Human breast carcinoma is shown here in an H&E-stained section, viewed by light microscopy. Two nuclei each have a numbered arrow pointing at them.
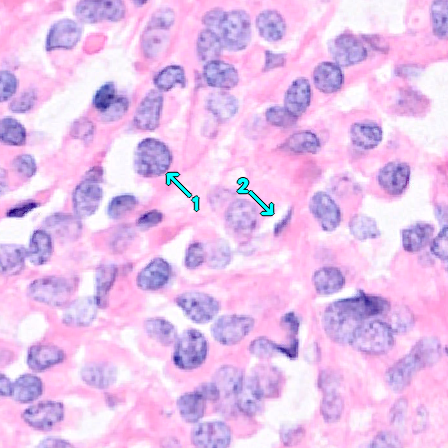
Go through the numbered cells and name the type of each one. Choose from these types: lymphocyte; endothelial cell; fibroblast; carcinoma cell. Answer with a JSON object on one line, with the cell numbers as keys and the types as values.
{"1": "carcinoma cell", "2": "fibroblast"}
